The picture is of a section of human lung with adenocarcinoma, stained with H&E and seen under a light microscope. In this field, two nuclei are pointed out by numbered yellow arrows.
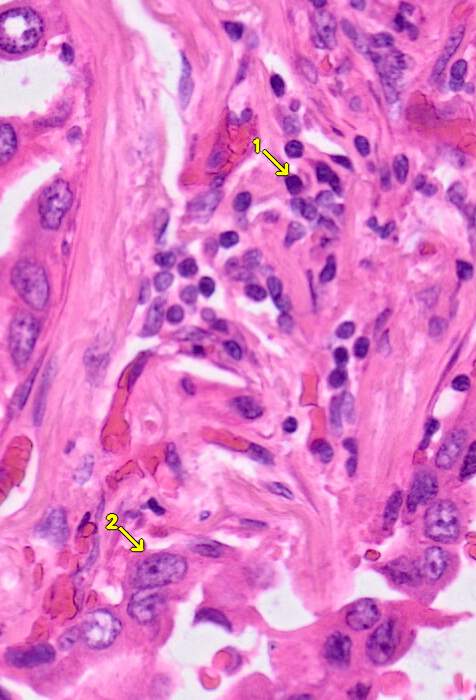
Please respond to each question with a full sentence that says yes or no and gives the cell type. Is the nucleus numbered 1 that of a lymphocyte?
Yes, the cell that number 1 points to is a lymphocyte.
